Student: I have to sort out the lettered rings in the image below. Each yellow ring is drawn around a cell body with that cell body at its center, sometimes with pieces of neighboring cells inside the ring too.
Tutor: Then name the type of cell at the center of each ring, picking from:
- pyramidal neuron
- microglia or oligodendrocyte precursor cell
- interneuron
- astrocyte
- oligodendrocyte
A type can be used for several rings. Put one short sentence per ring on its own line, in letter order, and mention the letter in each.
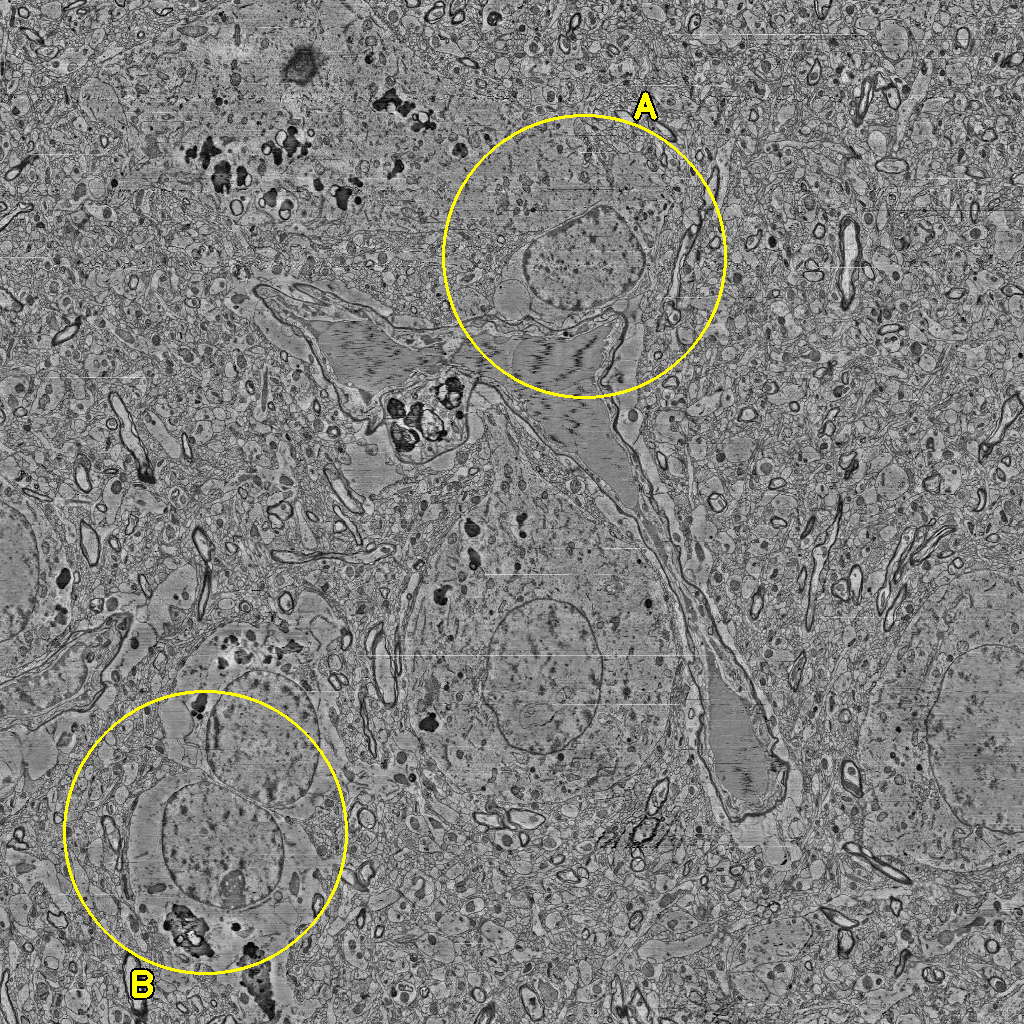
Inside ring A, at its center, is a microglial cell or oligodendrocyte precursor cell.
Inside ring B, at its center, is an astrocyte.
